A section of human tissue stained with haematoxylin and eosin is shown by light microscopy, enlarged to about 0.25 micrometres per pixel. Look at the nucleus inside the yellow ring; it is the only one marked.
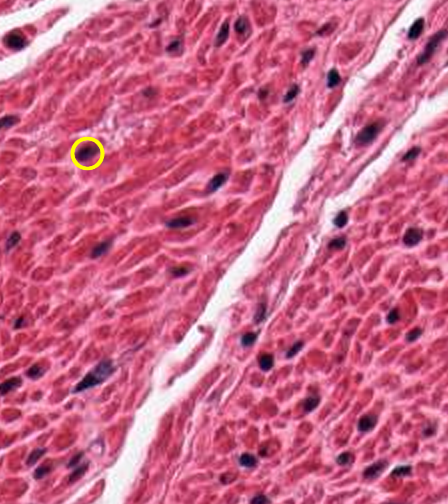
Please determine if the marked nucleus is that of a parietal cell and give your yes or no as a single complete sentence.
No, the nucleus bearing the mark is not the nucleus of a parietal cell.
